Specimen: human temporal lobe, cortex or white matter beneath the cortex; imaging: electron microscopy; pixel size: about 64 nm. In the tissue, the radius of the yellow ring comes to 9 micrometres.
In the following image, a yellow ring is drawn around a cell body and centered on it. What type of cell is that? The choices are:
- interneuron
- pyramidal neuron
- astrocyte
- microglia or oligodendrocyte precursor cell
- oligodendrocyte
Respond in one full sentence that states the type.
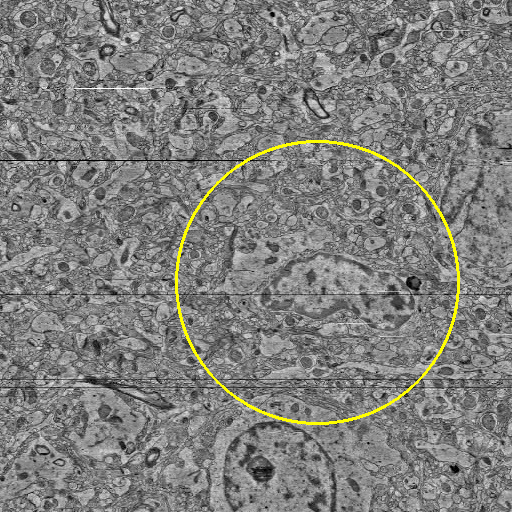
The cell at the center of the yellow ring in the image is a microglial cell or oligodendrocyte precursor cell.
